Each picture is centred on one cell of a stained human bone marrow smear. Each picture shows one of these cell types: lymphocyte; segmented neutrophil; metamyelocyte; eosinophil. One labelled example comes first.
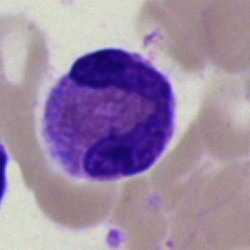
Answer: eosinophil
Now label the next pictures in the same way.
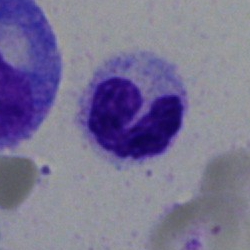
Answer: segmented neutrophil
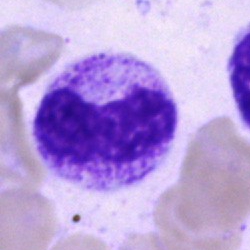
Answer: metamyelocyte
